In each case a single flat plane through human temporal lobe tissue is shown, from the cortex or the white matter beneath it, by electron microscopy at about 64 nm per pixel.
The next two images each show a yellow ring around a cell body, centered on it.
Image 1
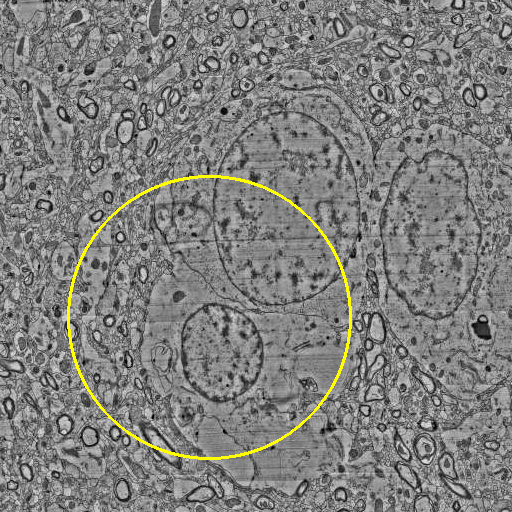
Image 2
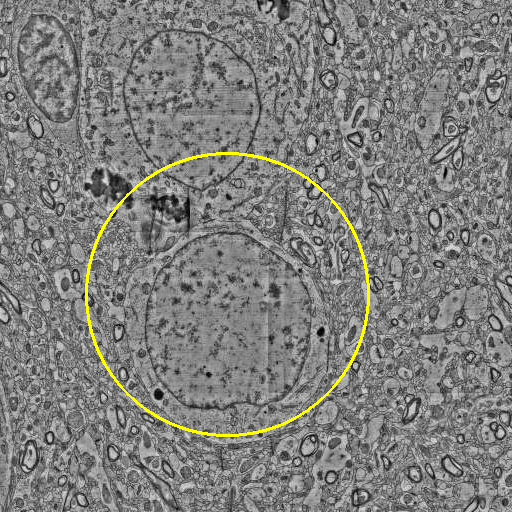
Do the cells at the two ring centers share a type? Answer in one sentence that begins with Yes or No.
No, across the two images the cells at the ring centers are of two types.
